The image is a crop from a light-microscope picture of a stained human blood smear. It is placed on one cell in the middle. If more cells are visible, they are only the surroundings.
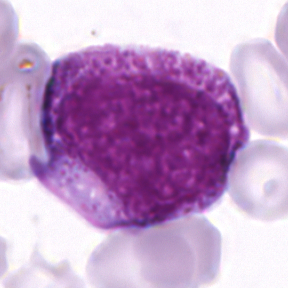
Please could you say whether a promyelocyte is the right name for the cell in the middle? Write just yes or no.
yes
